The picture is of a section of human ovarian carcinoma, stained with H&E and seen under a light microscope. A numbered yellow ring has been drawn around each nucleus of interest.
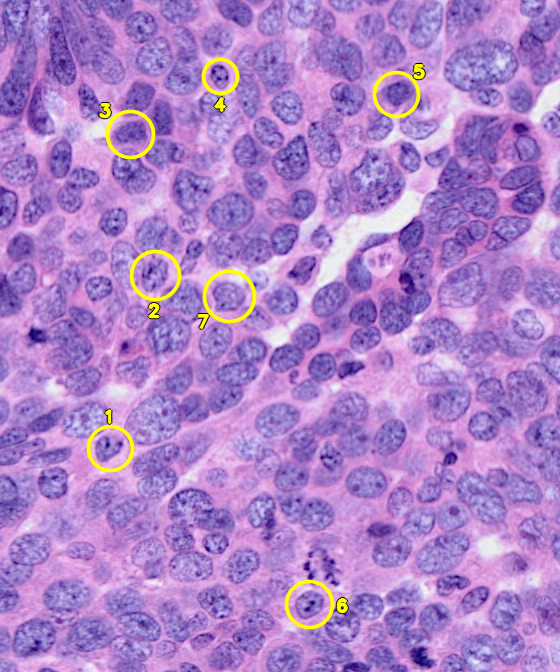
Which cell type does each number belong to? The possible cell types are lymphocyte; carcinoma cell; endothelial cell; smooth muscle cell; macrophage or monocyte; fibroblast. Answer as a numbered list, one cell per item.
1. macrophage or monocyte
2. macrophage or monocyte
3. carcinoma cell
4. macrophage or monocyte
5. carcinoma cell
6. macrophage or monocyte
7. carcinoma cell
